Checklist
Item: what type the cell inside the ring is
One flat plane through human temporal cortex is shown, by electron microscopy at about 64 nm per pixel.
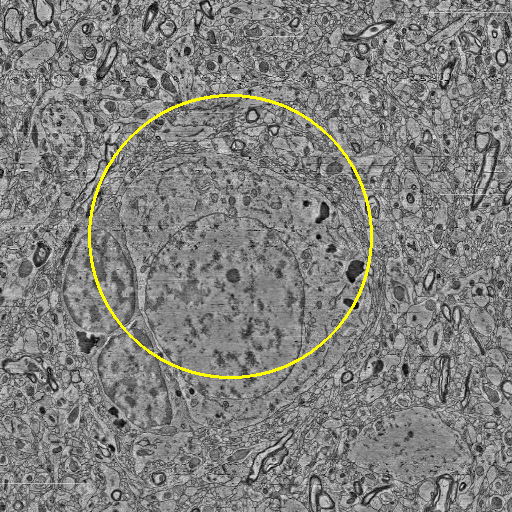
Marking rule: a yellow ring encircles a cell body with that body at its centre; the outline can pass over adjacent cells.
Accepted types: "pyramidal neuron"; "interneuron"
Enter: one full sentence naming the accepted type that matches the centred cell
The entry is that a pyramidal neuron lies at the centre of the yellow ring.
